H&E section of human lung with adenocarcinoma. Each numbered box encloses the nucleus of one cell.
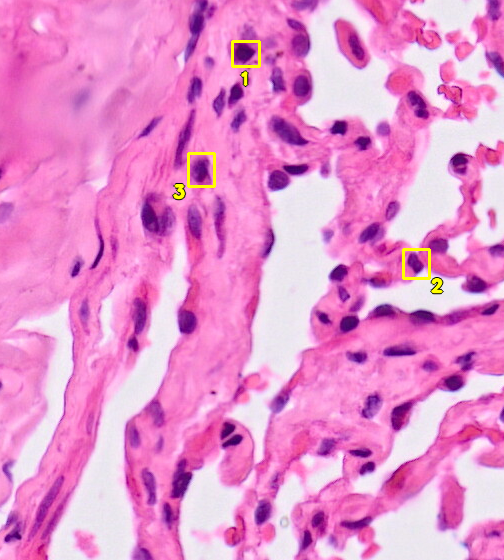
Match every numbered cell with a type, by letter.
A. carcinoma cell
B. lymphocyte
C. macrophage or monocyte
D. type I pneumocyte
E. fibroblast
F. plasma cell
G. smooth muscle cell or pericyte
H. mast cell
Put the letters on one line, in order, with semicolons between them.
F; D; F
